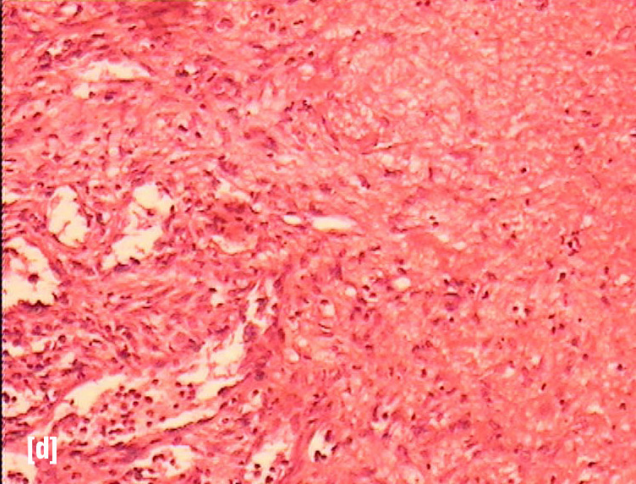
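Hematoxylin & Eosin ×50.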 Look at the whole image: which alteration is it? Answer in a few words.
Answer: areas of necrosis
